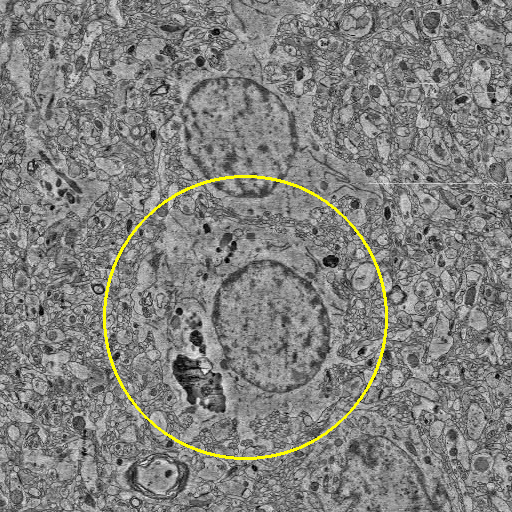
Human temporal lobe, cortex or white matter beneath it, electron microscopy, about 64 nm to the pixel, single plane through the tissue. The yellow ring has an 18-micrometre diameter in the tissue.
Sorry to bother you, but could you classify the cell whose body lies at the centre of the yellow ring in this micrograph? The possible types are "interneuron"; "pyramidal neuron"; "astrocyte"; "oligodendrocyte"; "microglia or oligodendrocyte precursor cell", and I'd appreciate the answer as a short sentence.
The ringed cell body is that of an astrocyte.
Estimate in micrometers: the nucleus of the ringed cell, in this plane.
About 9 by 7 micrometers, in this plane.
